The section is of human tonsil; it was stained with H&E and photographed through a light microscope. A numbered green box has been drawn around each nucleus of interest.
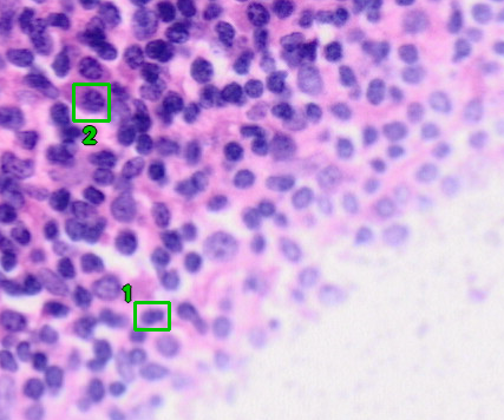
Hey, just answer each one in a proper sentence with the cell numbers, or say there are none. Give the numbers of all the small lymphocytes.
Nothing but cell 1 is a small lymphocyte among the numbered ones.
